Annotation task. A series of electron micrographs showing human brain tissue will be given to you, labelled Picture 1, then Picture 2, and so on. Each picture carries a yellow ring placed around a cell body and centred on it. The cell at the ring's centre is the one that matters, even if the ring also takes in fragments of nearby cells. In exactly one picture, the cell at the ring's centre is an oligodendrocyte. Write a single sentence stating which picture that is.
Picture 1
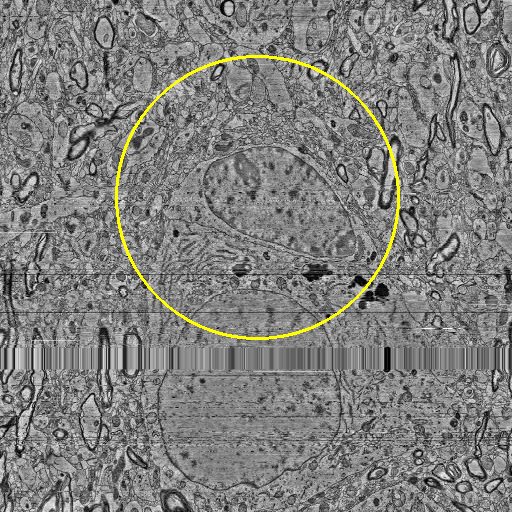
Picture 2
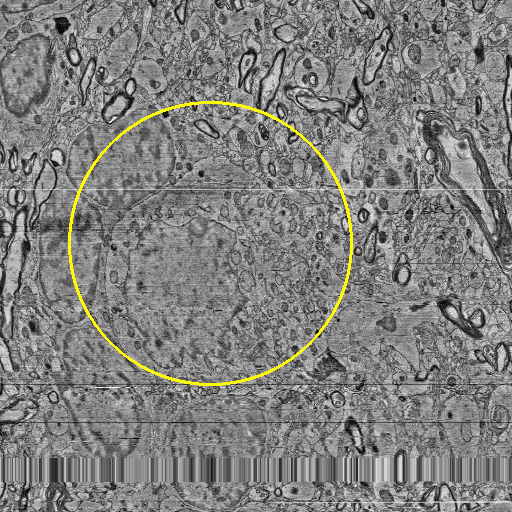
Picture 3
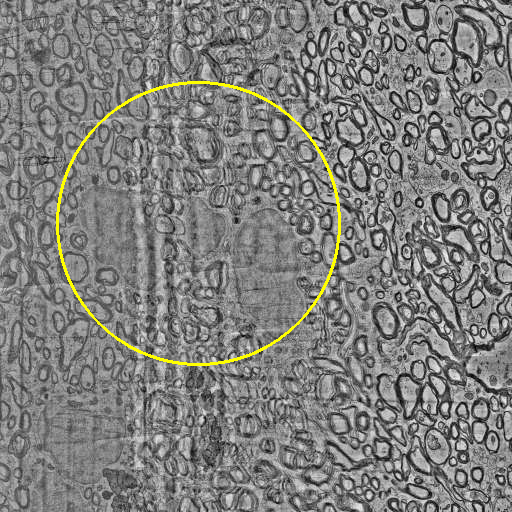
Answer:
Picture 3 holds the requested cell at the very centre of its ring.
